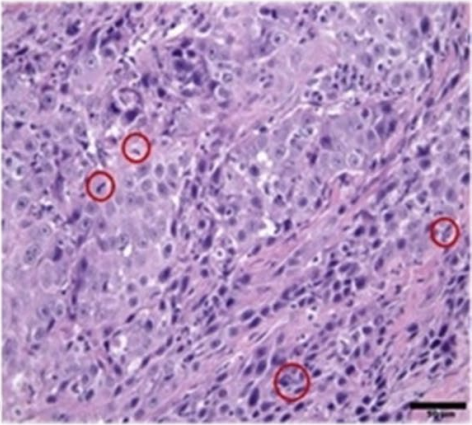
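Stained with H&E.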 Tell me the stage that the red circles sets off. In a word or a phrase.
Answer: Mitotic figures.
